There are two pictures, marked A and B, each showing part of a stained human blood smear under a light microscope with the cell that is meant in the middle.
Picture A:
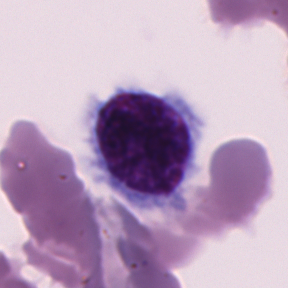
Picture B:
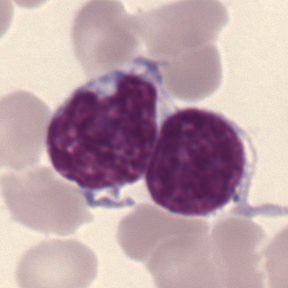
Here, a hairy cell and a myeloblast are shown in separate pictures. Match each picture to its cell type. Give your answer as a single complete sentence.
In picture A the cell is a hairy cell; in picture B, a myeloblast.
